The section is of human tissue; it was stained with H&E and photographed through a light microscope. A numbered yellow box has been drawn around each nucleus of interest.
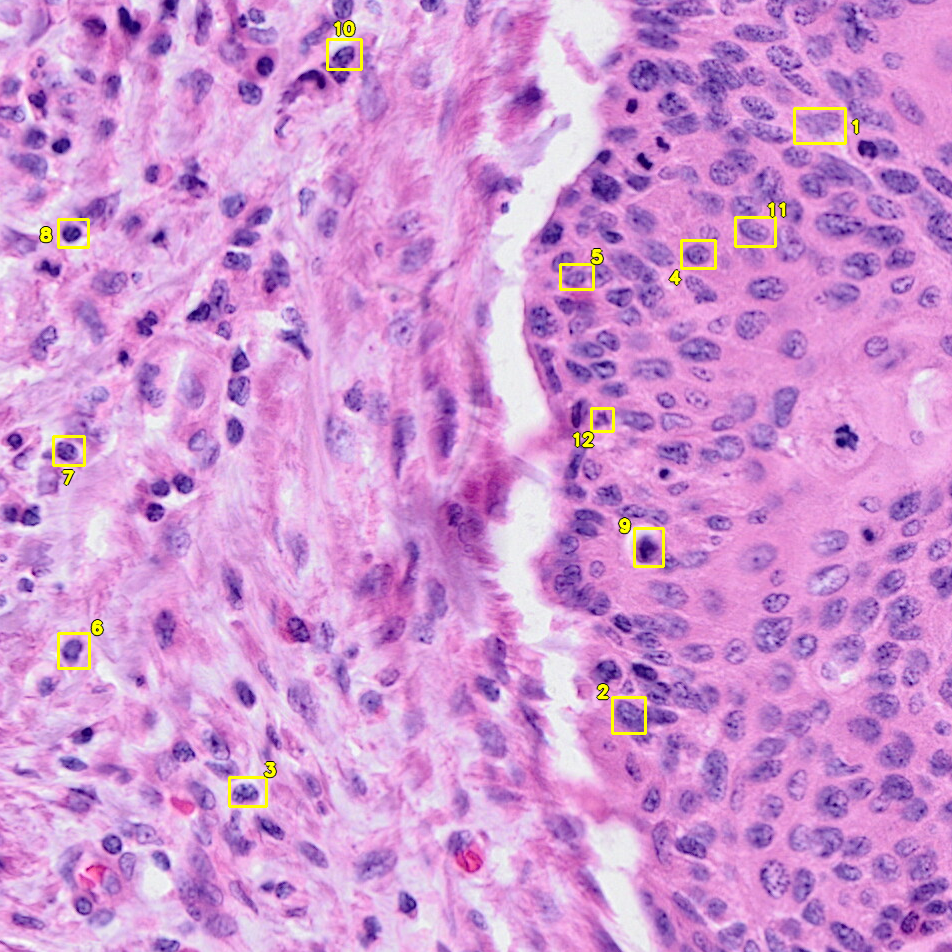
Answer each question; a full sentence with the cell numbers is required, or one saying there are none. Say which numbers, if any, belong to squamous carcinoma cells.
The cells assigned the numbers 1, 2, 4, 5, 9, 11 and 12 are squamous carcinoma cells.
